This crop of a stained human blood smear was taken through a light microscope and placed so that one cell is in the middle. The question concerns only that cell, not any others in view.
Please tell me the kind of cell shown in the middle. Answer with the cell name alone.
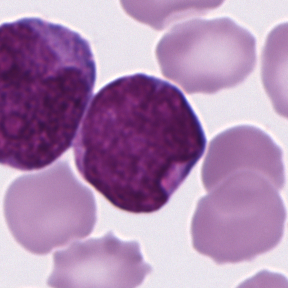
myeloblast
